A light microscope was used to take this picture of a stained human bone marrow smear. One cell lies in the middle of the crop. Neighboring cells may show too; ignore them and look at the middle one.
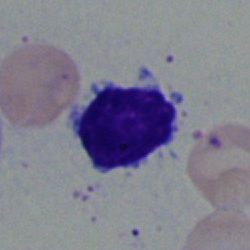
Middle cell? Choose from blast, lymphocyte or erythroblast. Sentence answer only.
In this smear crop, the middle cell is a lymphocyte.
